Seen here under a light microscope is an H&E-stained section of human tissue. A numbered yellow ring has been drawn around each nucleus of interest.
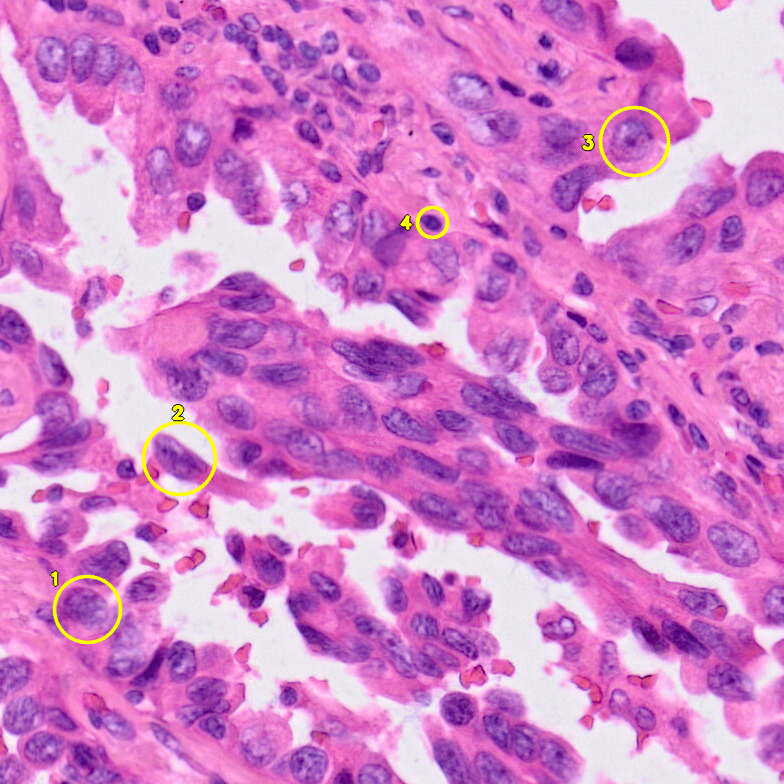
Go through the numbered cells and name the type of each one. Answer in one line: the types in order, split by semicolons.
carcinoma cell; carcinoma cell; carcinoma cell; lymphocyte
